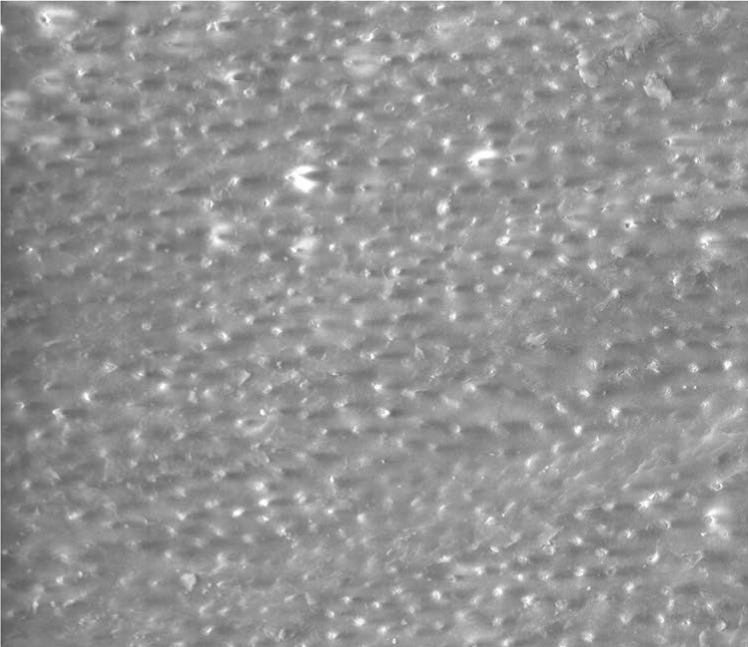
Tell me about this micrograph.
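This is a dentin surface seen from above, showing dentinal tubule orifices that are closed over. The surface is a fairly smooth, continuous sheet. The pits are shallow, with bright rims, and their centres are filled rather than dark and open, so no tubule lumen can be seen. A few brighter flecks and small irregular particles lie scattered on the surface. Towards the lower right, the surface becomes more streaked and smeared.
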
